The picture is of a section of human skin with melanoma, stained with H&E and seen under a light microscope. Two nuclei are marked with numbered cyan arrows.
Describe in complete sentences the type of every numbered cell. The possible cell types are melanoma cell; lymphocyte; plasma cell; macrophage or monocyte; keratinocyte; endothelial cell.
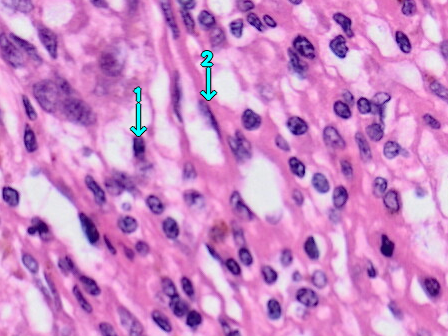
Cell 1 is a lymphocyte. Cell 2 is an endothelial cell.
